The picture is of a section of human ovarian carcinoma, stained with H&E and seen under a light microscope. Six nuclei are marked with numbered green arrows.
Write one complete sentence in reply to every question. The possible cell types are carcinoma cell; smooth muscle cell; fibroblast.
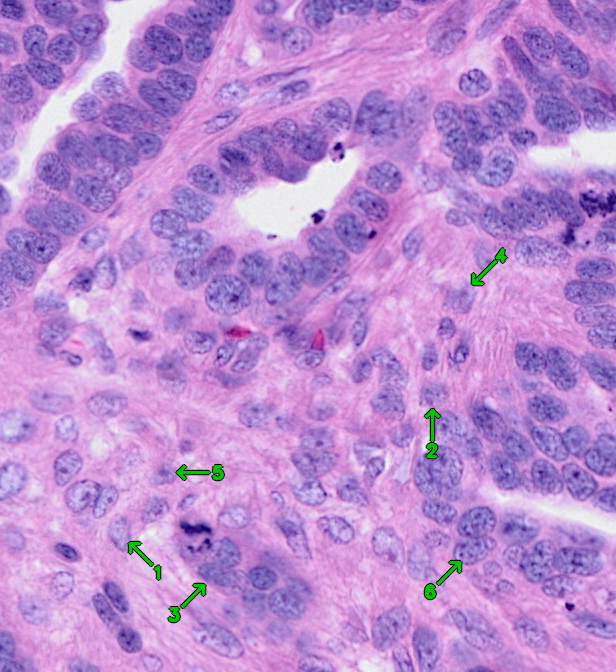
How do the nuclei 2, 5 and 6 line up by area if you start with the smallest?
Smallest first, the nuclei run 5, 2, 6.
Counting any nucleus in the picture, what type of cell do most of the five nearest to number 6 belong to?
Of the five nuclei nearest to number 6, most belong to carcinoma cells.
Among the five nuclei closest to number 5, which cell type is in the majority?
The majority of the five nuclei closest to number 5 belong to fibroblasts.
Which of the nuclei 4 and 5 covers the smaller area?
It is nucleus 5; nucleus 4 has about 1.5 times its area.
